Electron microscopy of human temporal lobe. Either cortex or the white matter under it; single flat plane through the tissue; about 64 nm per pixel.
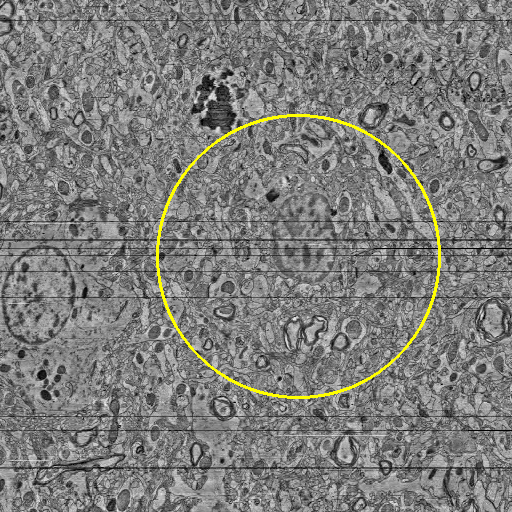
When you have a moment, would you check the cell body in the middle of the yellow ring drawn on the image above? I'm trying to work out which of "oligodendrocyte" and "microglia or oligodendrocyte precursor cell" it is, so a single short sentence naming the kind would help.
This cell body belongs to an oligodendrocyte.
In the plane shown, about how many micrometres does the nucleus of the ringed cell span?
About 6 micrometres by about 4 micrometres in this plane.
